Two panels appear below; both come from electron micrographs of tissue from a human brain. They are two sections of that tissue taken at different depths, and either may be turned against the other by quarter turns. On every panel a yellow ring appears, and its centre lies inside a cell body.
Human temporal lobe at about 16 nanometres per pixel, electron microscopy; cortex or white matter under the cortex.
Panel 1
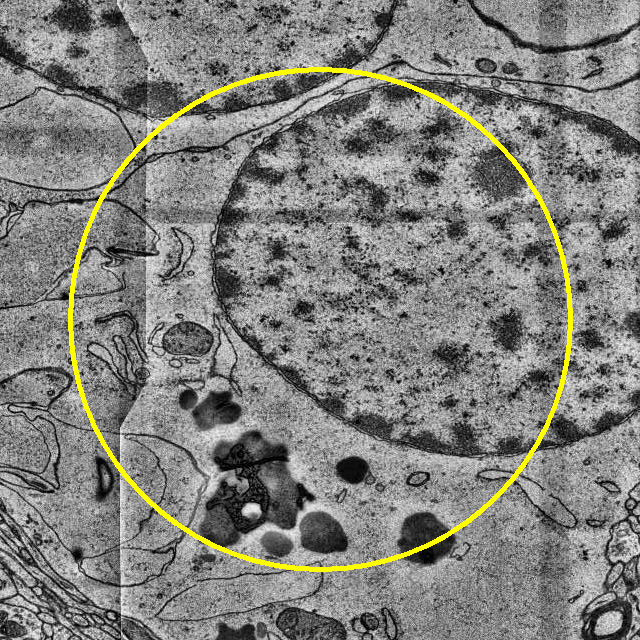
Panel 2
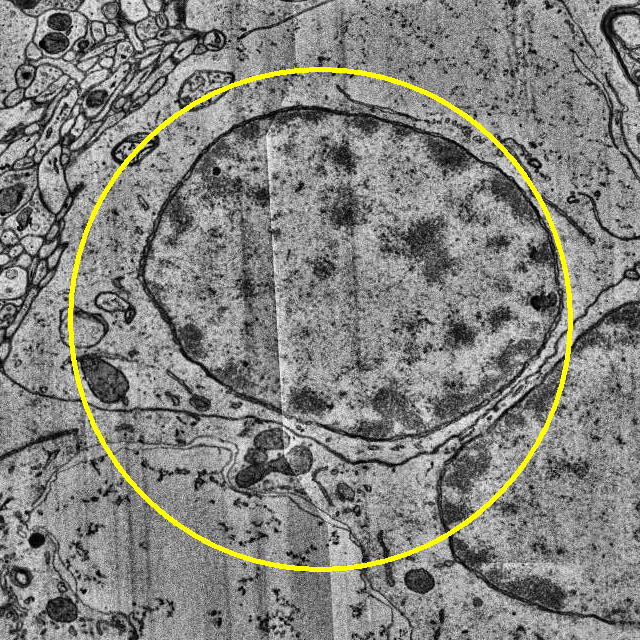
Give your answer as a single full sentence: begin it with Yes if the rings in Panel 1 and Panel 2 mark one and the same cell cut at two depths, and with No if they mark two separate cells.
No, in this micrograph the two rings mark two different cells.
